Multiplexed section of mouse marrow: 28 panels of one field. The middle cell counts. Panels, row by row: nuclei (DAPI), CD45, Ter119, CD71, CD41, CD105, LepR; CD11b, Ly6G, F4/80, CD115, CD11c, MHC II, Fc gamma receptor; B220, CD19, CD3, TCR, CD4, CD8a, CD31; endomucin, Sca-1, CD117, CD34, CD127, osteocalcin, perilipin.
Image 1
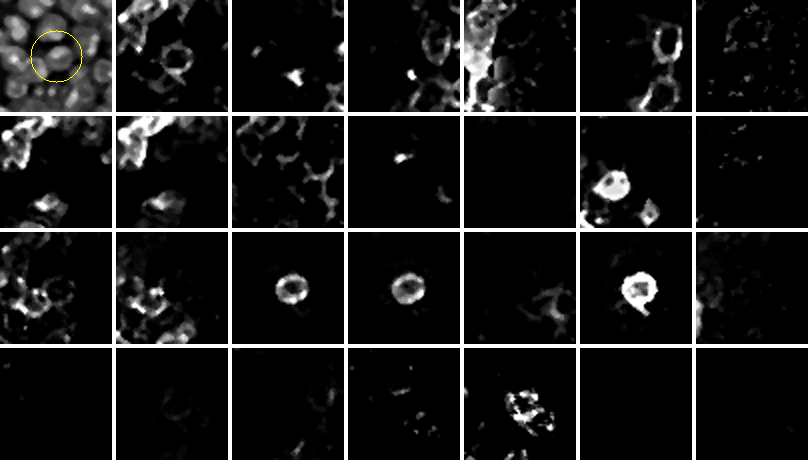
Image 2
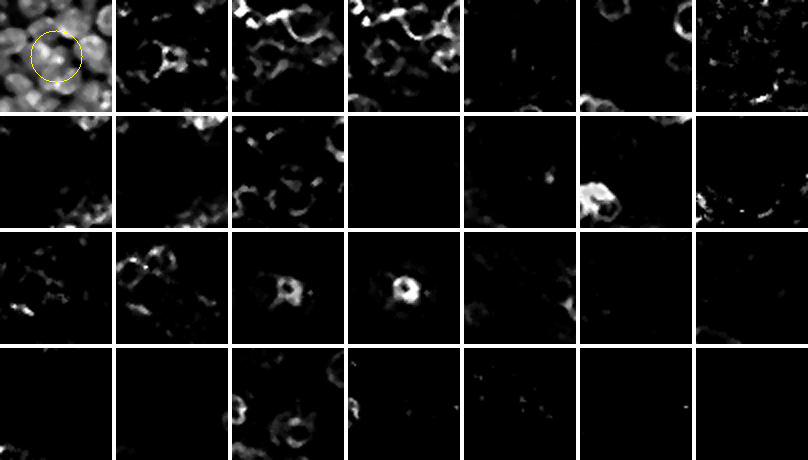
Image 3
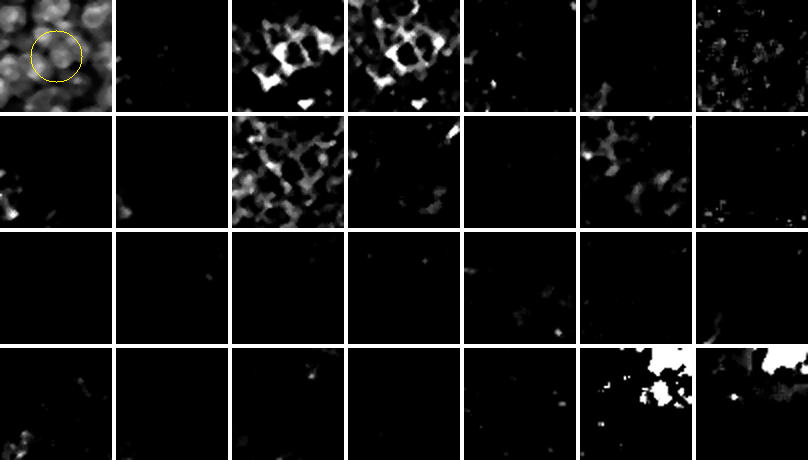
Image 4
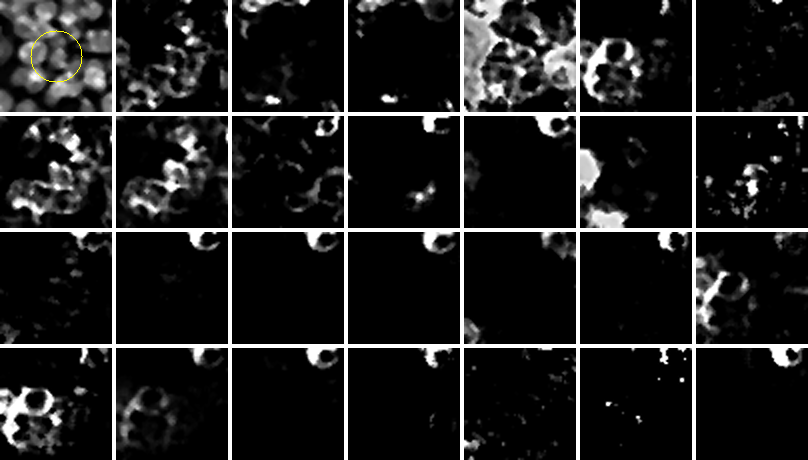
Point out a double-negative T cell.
That is picture 2.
